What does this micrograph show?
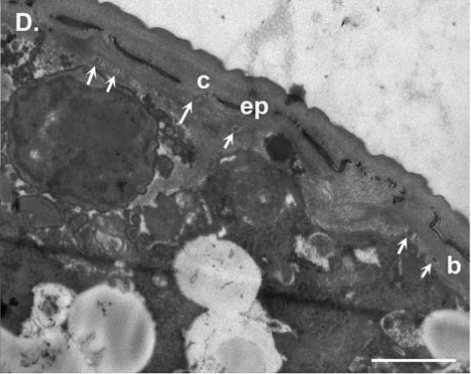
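The thin dark epicuticle runs as broken wavy lines within a thickened, granular cortical layer rather than at the surface, and the basal layer lacks regular striations. Small round vesicle-like profiles lie within and beneath these layers, above cells with large rounded inclusions.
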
